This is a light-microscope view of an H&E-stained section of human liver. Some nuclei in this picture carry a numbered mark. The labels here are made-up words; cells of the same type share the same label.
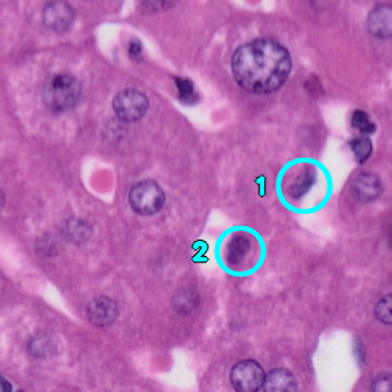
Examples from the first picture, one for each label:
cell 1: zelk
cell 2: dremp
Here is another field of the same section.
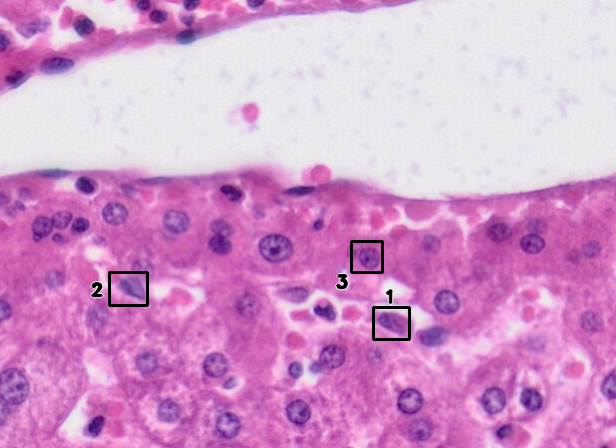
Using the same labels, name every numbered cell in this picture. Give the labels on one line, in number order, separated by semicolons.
dremp; zelk; dremp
